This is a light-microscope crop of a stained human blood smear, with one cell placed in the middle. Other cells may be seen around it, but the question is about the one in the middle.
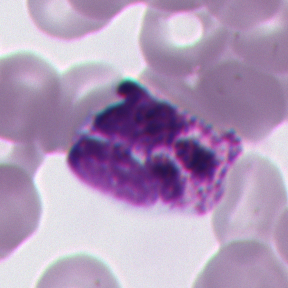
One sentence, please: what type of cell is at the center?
The cell nearest the centre of this crop is a basophil.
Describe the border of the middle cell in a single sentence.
Around its circumference, the cell has an uneven edge, ragged or projecting in places.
